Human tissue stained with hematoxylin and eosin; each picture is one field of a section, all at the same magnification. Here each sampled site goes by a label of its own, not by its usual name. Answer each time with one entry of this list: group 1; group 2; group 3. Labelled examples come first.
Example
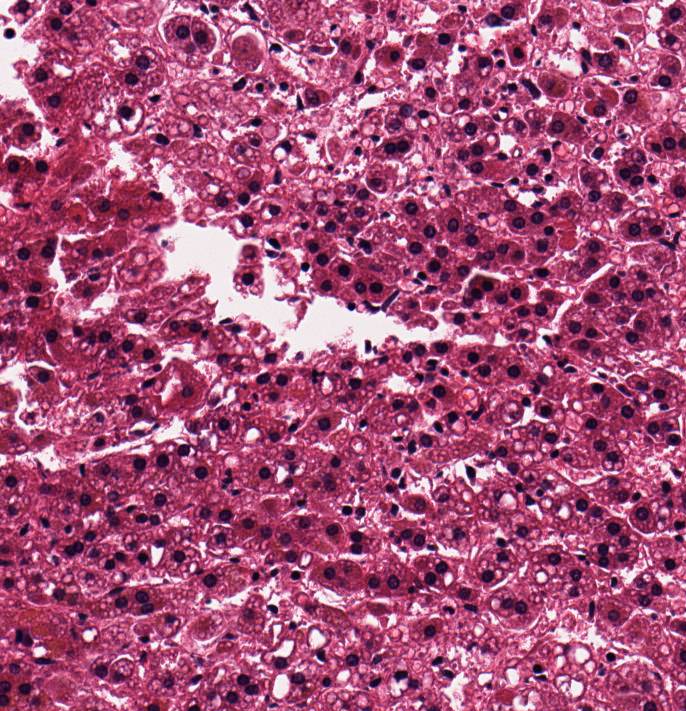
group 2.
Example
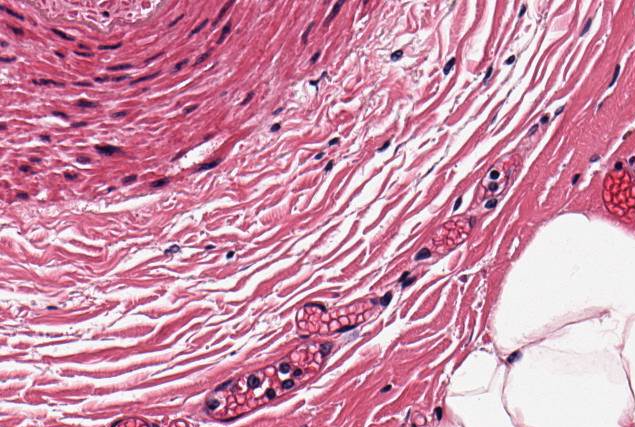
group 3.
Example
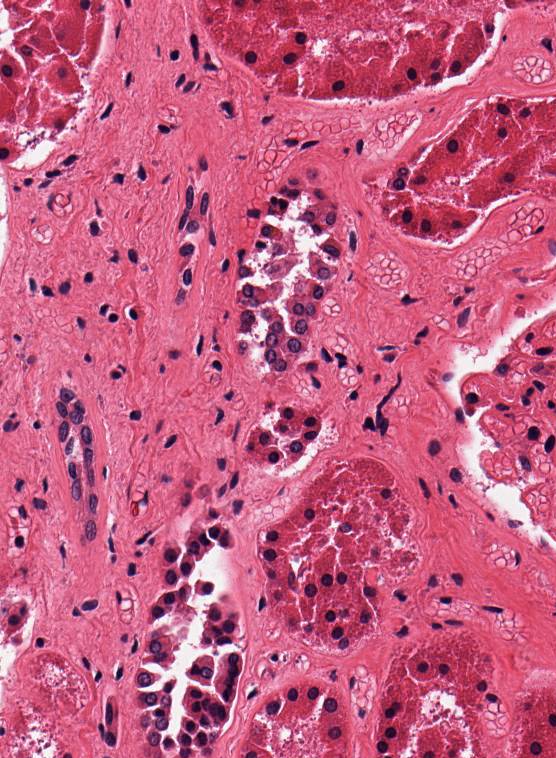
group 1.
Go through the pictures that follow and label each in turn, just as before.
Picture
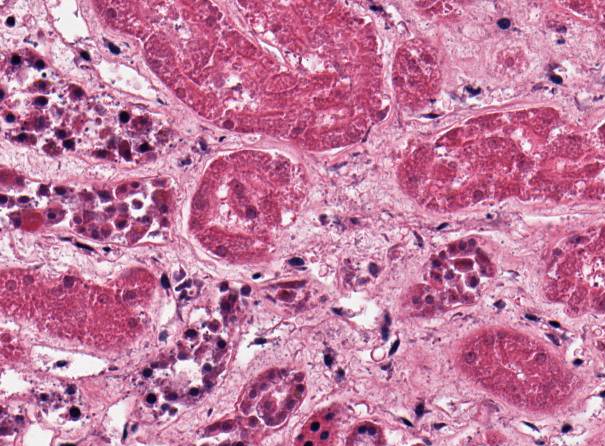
group 1.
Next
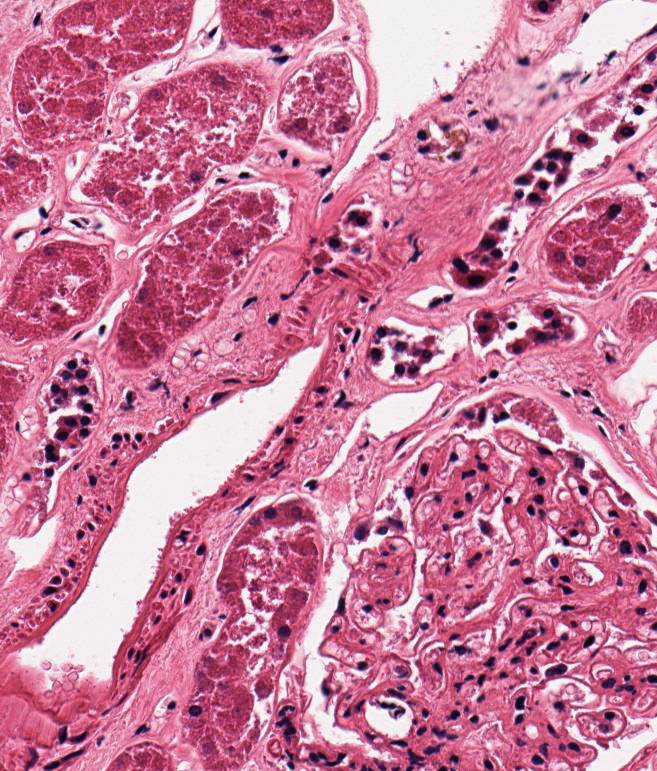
group 1.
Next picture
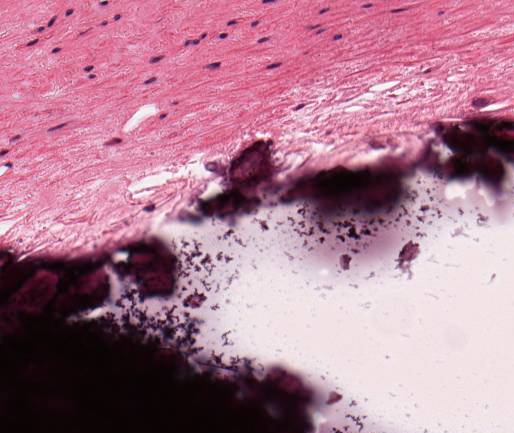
group 3.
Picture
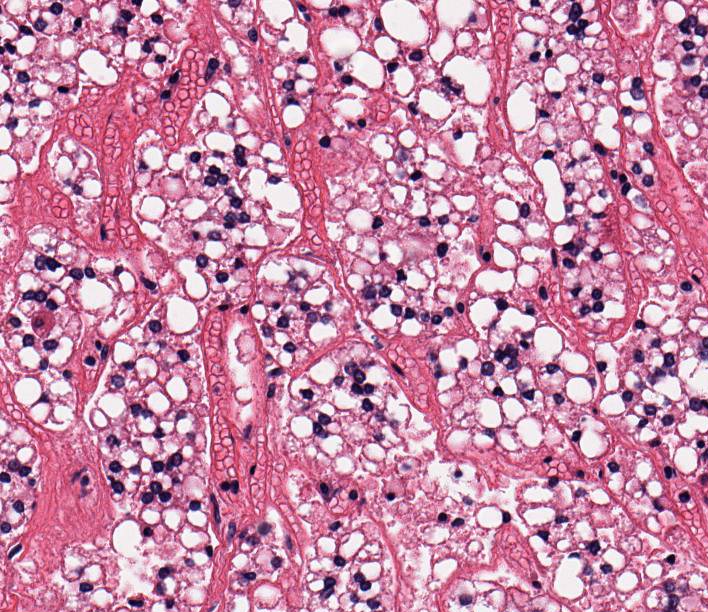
group 2.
